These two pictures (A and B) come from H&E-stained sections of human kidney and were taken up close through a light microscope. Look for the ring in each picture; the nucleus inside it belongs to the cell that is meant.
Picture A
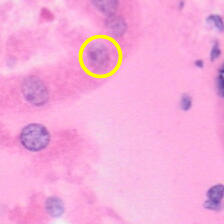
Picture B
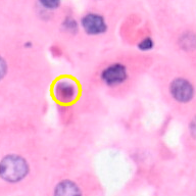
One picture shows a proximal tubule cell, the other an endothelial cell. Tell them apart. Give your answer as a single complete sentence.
In picture A the cell is a proximal tubule cell; in picture B, an endothelial cell.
